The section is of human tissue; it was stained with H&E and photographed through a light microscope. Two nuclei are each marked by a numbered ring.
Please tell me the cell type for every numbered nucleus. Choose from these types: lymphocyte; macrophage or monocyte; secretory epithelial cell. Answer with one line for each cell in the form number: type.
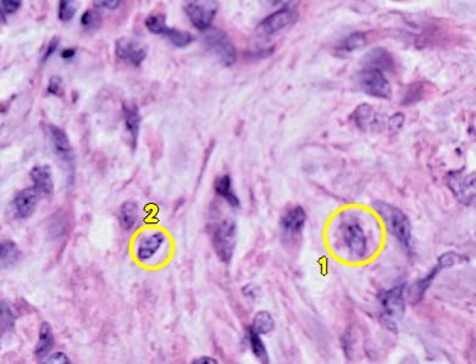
1: macrophage or monocyte
2: lymphocyte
